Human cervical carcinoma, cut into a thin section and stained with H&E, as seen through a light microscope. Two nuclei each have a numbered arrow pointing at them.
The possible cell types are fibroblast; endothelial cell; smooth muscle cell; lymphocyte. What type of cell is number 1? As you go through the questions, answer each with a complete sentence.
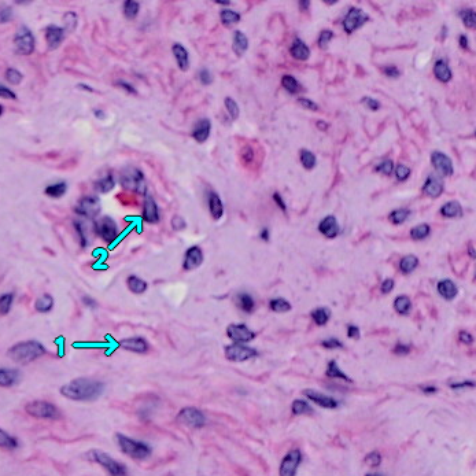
Cell 1 is classified as a smooth muscle cell.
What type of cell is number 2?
Denoted by the label 2 in the section is an endothelial cell.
